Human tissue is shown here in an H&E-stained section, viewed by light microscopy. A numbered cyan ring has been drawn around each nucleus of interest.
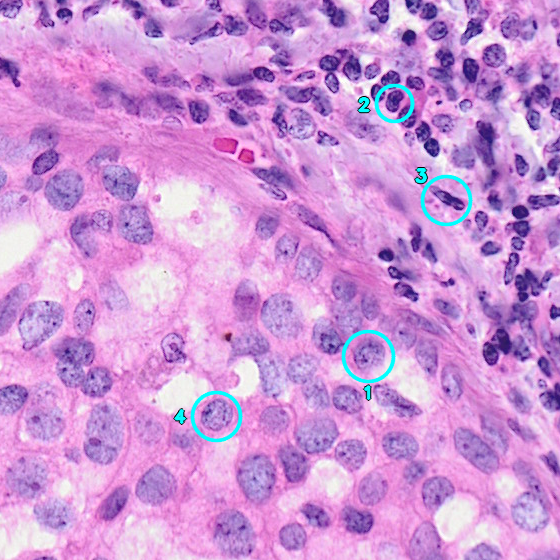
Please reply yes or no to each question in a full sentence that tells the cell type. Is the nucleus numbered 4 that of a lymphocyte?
No, number 4 belongs to a carcinoma cell, not to a lymphocyte.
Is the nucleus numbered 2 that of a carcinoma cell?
No, the cell tagged 2 is a lymphocyte, not a carcinoma cell.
